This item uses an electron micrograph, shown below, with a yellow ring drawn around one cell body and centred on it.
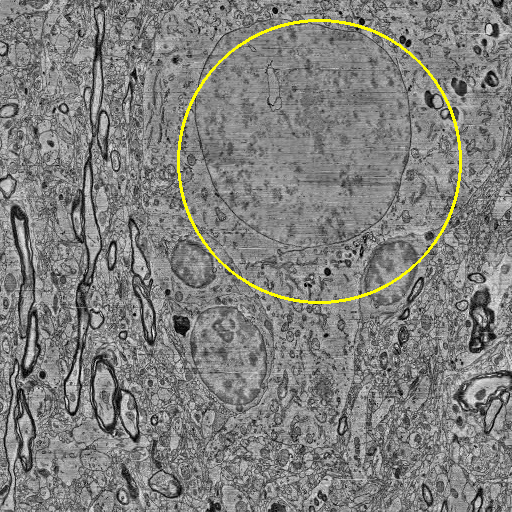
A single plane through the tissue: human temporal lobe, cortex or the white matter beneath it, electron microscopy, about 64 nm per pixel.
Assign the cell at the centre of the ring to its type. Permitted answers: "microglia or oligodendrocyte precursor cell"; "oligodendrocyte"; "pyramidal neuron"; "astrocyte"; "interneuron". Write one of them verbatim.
pyramidal neuron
